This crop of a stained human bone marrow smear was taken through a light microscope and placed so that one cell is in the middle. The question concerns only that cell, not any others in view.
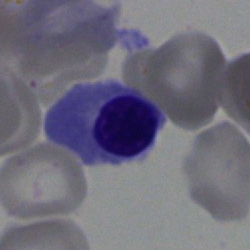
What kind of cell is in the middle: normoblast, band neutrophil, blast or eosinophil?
normoblast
